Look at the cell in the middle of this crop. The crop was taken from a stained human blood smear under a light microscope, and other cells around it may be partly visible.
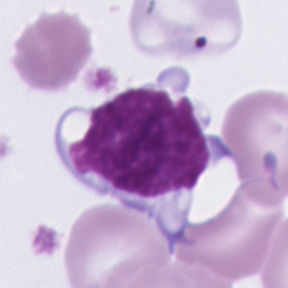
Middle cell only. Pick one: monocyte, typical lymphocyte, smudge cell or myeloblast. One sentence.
This crop's central cell is a typical lymphocyte.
